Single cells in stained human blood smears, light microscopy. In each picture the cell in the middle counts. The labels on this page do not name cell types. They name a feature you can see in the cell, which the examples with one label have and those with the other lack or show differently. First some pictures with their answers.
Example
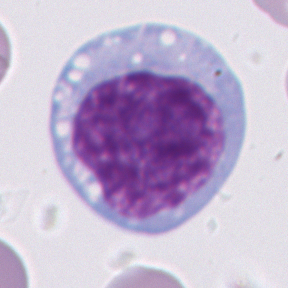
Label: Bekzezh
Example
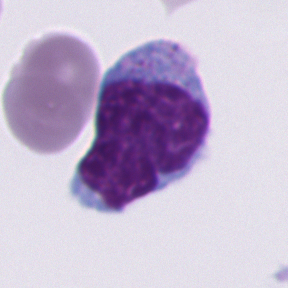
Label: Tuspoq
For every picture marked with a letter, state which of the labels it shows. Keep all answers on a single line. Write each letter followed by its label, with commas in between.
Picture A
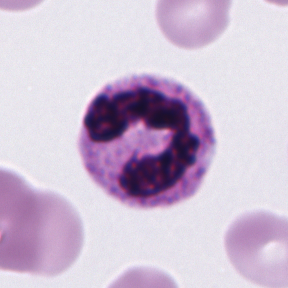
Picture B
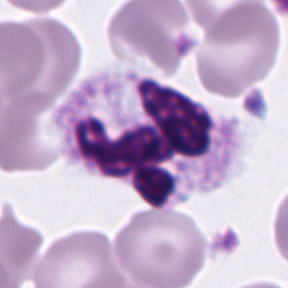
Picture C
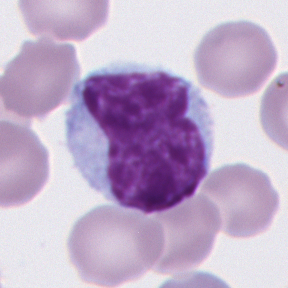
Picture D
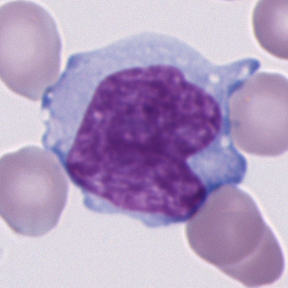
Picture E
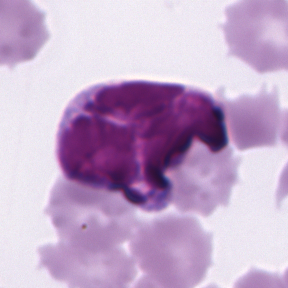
A Tuspoq, B Tuspoq, C Tuspoq, D Bekzezh, E Tuspoq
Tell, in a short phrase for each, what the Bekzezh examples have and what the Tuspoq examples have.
In Bekzezh: vacuoles present. In Tuspoq: no vacuoles.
